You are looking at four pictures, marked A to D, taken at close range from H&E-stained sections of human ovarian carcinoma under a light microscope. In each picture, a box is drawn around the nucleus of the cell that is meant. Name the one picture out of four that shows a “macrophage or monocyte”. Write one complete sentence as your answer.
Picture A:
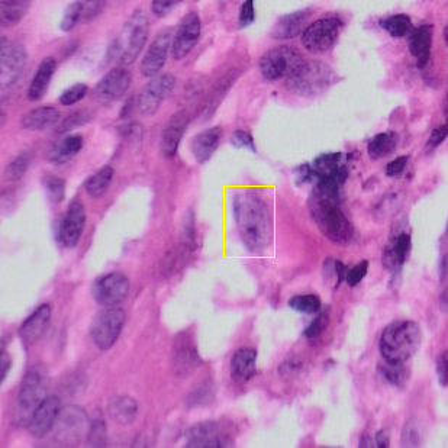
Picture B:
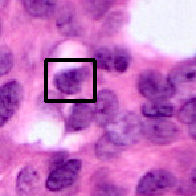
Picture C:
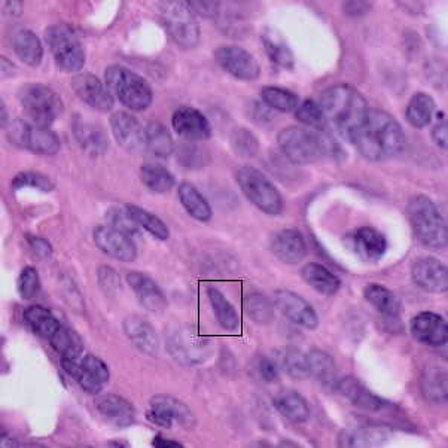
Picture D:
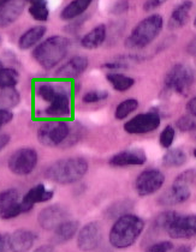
The cell in picture A is the “macrophage or monocyte”.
